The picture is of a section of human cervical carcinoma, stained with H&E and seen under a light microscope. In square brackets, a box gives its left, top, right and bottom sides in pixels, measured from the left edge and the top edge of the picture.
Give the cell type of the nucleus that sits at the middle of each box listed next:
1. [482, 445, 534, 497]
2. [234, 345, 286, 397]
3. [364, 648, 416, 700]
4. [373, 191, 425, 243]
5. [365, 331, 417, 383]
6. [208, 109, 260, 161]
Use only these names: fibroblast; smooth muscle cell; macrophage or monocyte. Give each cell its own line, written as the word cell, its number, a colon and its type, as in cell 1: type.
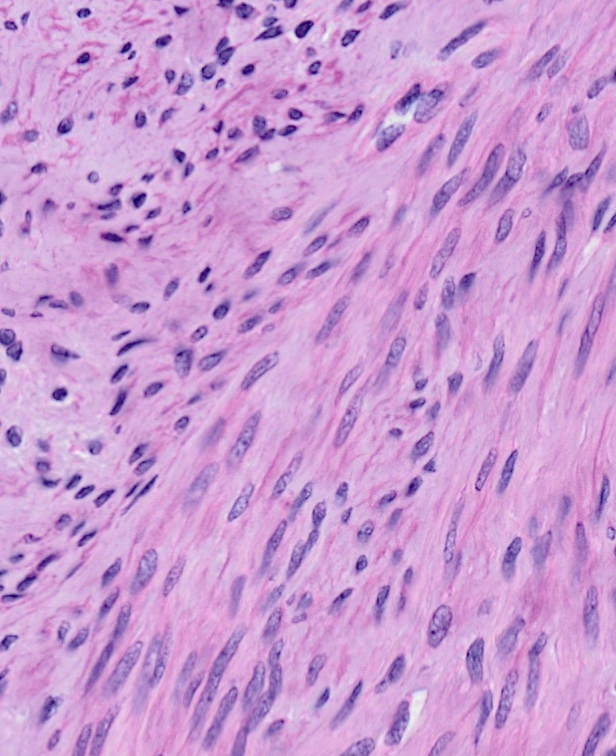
cell 1: fibroblast
cell 2: smooth muscle cell
cell 3: fibroblast
cell 4: smooth muscle cell
cell 5: smooth muscle cell
cell 6: smooth muscle cell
